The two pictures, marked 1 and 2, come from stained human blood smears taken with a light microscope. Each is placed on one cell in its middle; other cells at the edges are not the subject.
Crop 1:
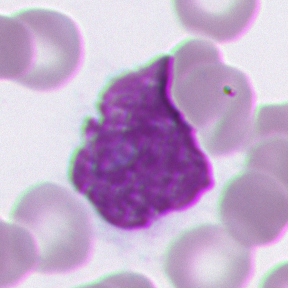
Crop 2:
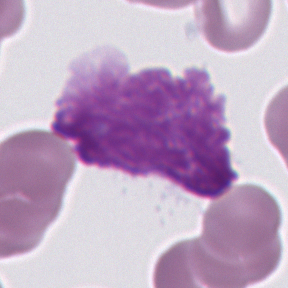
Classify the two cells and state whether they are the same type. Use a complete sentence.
Yes, the central cells in both of the crops are smudge cells.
